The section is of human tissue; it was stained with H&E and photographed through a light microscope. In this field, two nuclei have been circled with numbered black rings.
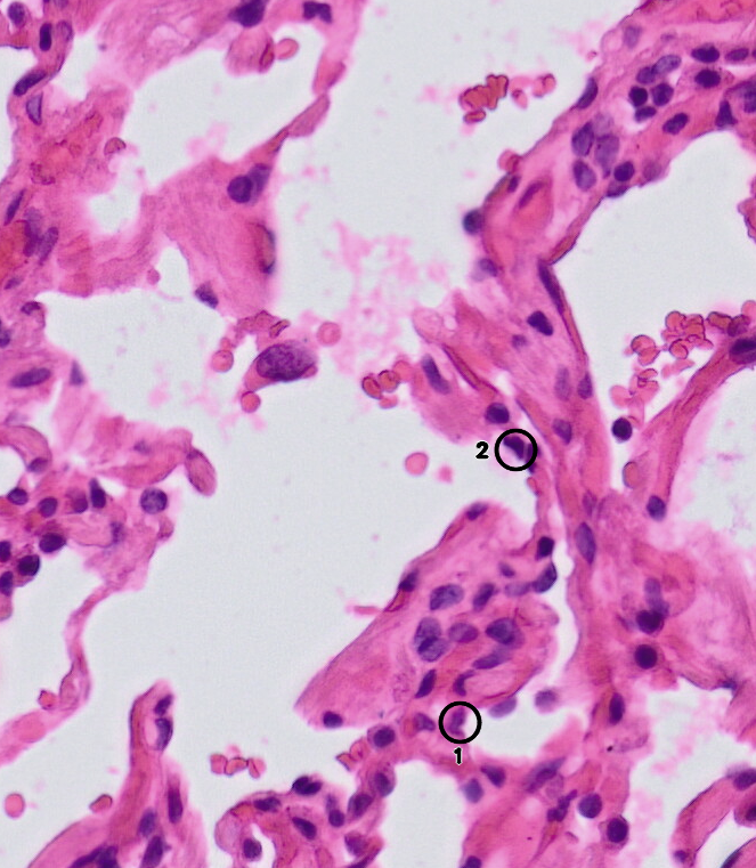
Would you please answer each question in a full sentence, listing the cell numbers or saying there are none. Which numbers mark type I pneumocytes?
Only the cell numbered 2 is a type I pneumocyte, and the others are something else.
